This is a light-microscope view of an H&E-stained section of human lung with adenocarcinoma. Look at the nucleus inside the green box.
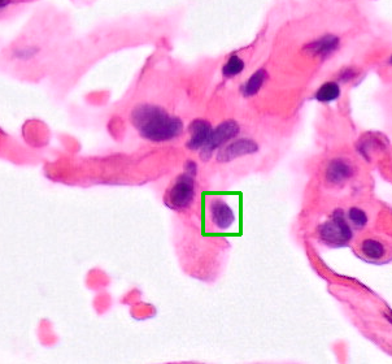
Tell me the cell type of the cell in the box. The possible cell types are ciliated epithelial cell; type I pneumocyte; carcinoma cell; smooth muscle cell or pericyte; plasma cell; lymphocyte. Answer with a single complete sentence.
The cell in the box is a type I pneumocyte.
